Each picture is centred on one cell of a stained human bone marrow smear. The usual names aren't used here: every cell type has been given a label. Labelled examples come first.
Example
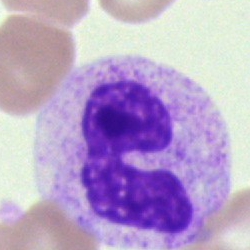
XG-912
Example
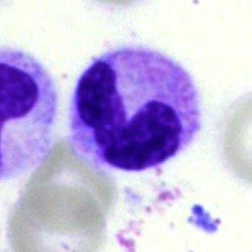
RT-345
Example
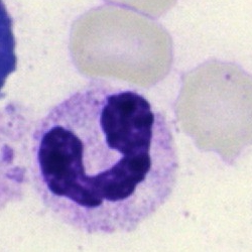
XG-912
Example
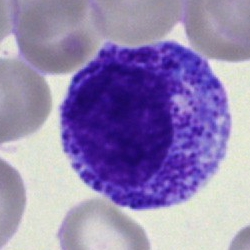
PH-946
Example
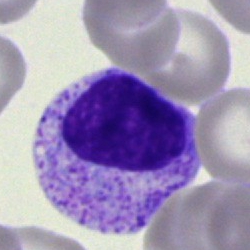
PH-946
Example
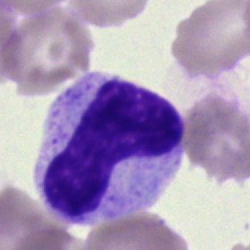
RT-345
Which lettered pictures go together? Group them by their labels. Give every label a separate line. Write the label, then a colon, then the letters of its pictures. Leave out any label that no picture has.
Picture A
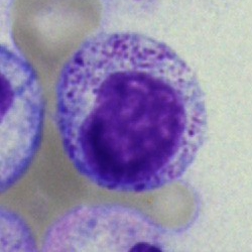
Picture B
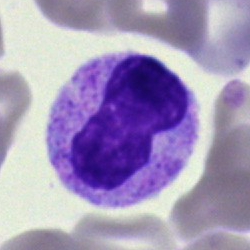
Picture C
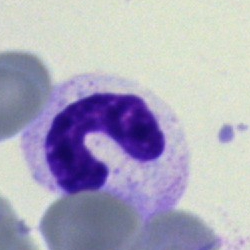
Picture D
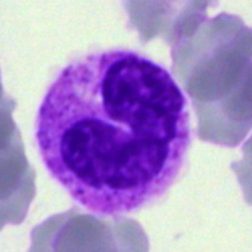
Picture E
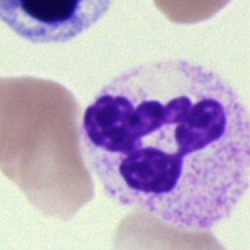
XG-912: E
RT-345: B, C, D
PH-946: A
